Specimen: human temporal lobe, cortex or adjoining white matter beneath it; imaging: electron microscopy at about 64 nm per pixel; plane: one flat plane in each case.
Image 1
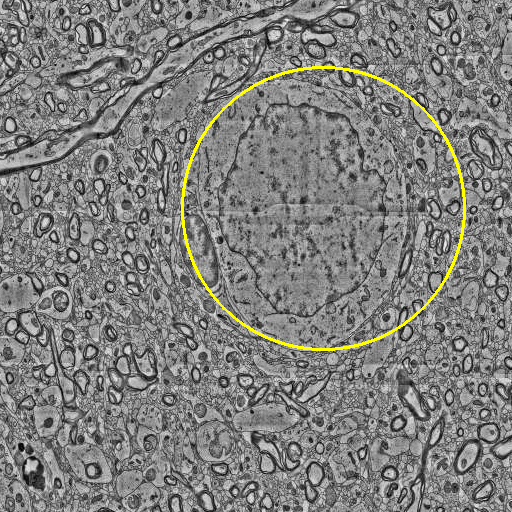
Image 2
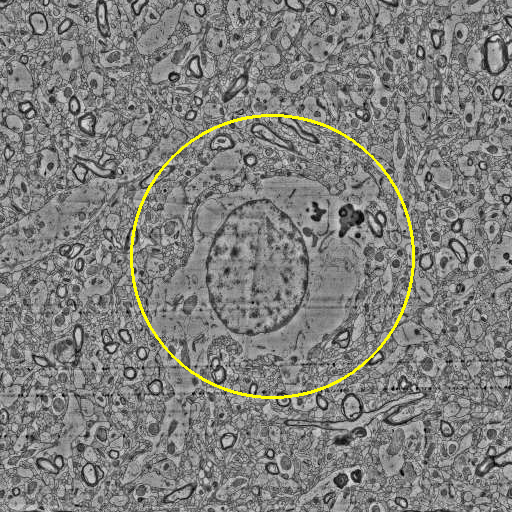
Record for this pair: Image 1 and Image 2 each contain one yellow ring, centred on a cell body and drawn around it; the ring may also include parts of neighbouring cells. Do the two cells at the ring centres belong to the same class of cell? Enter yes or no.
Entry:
no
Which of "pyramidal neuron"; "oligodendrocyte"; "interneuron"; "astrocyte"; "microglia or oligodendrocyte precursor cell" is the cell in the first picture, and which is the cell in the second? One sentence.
The two differ: the first cell is a pyramidal neuron and the second is an astrocyte.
